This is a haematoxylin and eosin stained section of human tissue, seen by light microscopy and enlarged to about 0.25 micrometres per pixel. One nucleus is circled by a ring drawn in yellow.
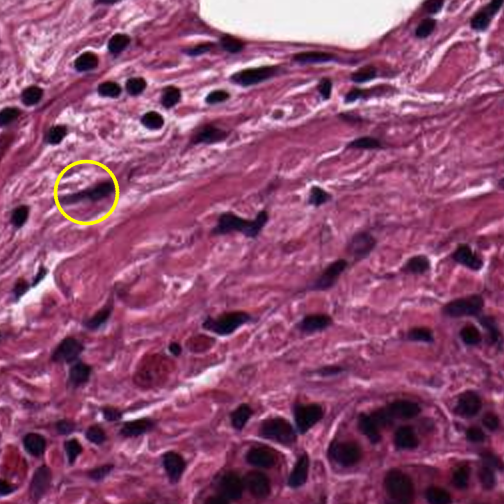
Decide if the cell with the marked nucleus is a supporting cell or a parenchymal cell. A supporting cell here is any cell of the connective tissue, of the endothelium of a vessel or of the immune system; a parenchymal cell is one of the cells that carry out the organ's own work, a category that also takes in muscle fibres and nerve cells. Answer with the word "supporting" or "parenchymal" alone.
supporting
